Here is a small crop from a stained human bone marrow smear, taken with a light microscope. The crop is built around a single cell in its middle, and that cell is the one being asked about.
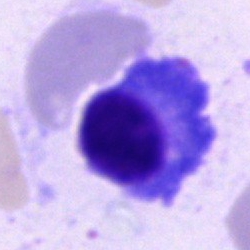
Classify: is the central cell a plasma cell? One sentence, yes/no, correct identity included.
Yes, the cell under consideration, the one in the middle, is a plasma cell.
